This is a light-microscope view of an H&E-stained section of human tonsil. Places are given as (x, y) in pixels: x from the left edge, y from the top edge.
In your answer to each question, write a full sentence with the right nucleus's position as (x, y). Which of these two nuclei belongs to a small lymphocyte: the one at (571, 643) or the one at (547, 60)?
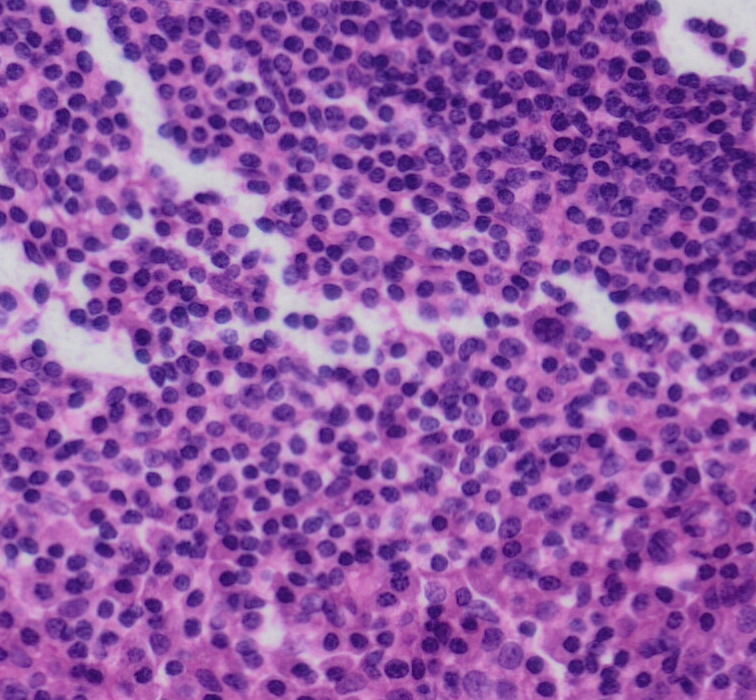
At (547, 60) lies the nucleus that belongs to a small lymphocyte.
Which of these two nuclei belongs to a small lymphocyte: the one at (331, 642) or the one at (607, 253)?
Identified as belonging to a small lymphocyte is the nucleus at (607, 253).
